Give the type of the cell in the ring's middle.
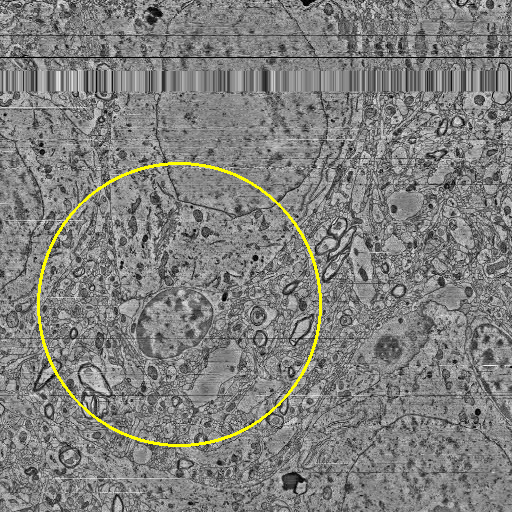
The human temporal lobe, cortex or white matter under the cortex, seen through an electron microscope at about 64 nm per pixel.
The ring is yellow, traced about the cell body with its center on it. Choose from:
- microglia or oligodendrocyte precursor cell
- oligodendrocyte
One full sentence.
Here, a microglial cell or oligodendrocyte precursor cell is the cell lying at the center of the yellow ring.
